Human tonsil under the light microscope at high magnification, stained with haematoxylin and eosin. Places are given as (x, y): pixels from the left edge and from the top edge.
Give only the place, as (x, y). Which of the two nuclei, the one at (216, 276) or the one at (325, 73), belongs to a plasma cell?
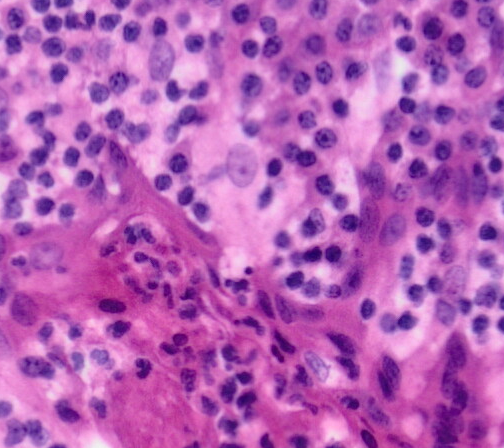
(325, 73)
